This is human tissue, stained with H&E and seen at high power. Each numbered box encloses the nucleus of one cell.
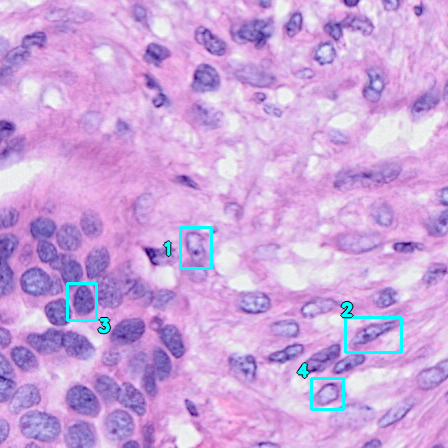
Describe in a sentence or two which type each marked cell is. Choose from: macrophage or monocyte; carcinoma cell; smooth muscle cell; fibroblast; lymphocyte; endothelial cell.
Cells 1, 2 and 4 are fibroblasts. Cell 3 is a carcinoma cell.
